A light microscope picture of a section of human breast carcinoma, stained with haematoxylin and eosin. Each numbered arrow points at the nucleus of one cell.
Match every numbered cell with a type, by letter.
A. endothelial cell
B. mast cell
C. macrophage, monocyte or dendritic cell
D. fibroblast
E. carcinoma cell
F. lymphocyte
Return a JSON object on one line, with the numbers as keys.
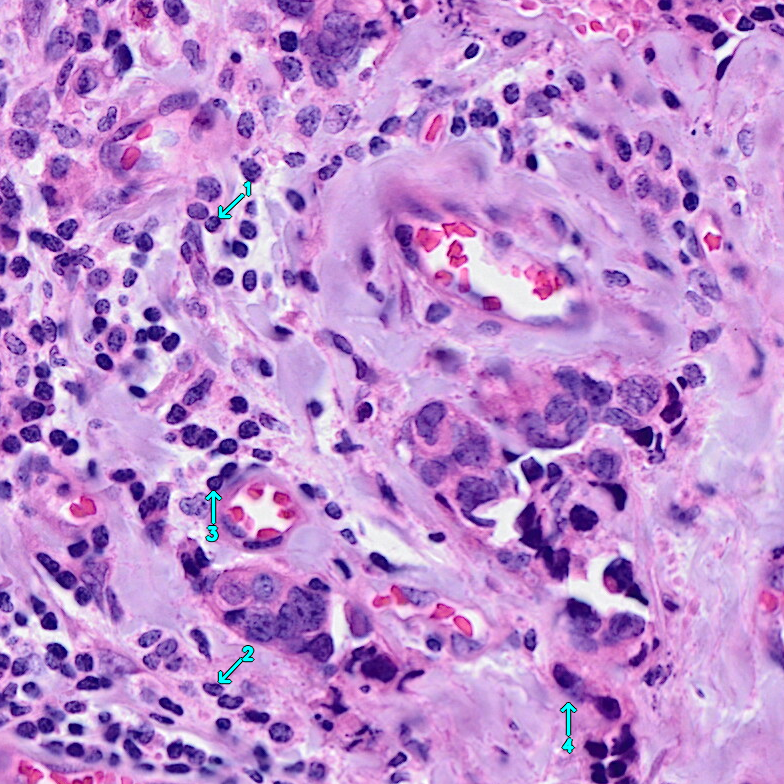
{"1": "F", "2": "F", "3": "F", "4": "E"}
